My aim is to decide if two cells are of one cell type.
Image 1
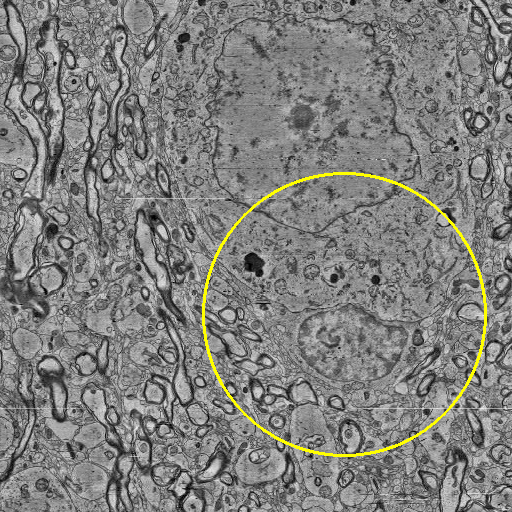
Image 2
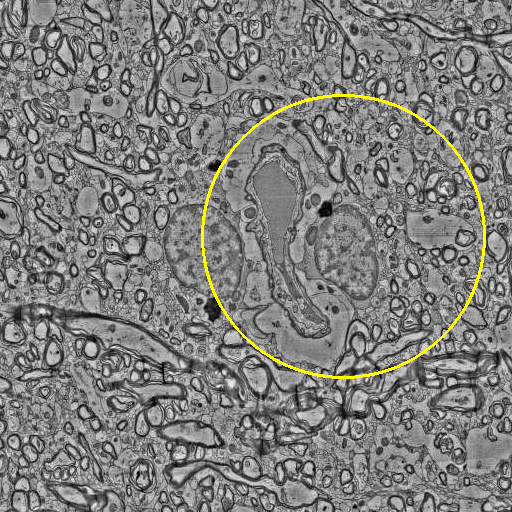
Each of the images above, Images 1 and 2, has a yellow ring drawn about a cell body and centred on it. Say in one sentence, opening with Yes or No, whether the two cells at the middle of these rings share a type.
Yes, in Images 1 and 2 the cells at the middle of the rings share one type.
